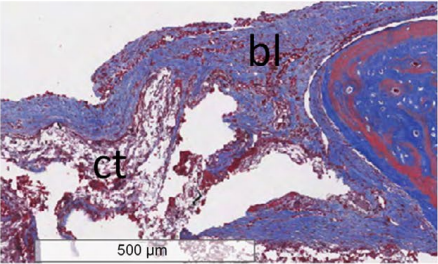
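Edge of a bone with adjacent bone-like and connective tissue. On the right lies a thick band of bone with layered matrix stained blue with red streaks, containing small scattered cell spaces. To its left a thinner wavy band of blue fibrous tissue, with red-stained cells along its surfaces, forms the bone-like tissue. Below it loose connective tissue with open spaces, pale fibres and red-stained material fills irregular pockets. Large empty clefts separate parts of the tissue, and the layers are thin and discontinuous compared with the bone at right.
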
